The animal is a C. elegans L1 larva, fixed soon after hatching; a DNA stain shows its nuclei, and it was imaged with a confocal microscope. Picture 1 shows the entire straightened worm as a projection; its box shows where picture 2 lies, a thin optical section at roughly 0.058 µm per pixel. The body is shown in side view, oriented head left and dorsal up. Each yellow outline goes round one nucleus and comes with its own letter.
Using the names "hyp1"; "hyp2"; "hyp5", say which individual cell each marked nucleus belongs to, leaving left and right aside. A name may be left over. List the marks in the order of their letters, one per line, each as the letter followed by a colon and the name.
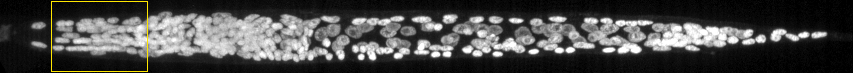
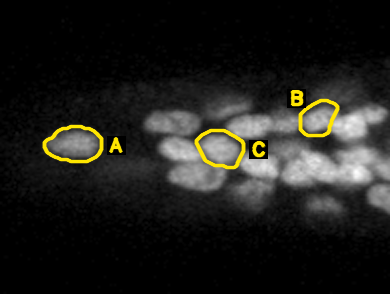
A: hyp5
B: hyp1
C: hyp2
